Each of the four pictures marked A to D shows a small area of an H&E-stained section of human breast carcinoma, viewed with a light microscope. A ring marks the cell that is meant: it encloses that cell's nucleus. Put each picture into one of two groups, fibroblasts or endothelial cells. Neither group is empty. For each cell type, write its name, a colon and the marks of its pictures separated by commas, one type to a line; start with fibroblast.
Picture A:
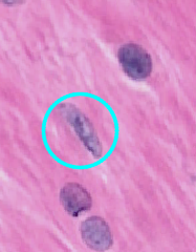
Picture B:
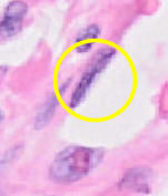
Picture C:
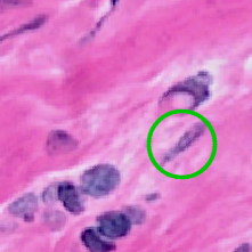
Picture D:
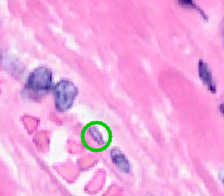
fibroblast: A, C
endothelial cell: B, D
